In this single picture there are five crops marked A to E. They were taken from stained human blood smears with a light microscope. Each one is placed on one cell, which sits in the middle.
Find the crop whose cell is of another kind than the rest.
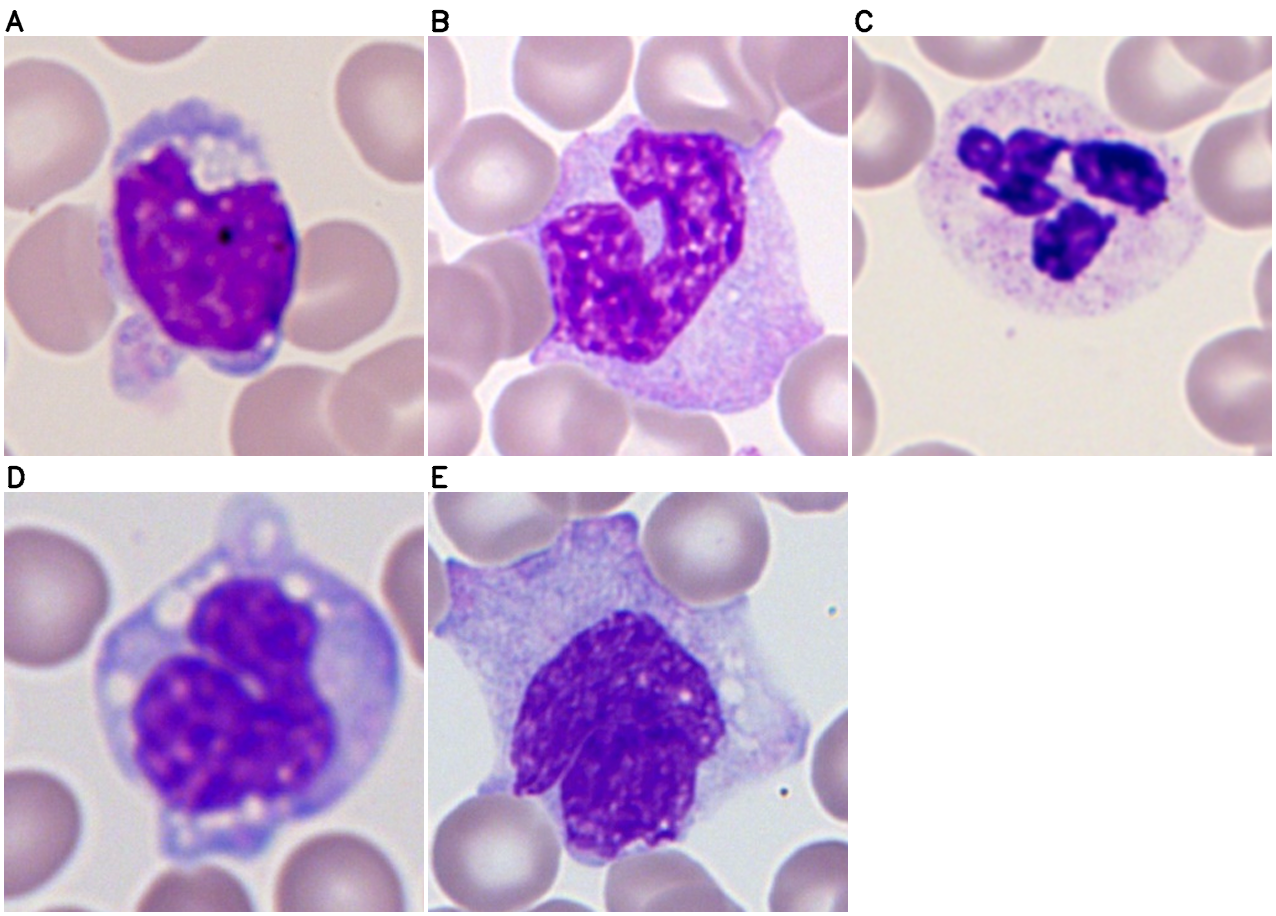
C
